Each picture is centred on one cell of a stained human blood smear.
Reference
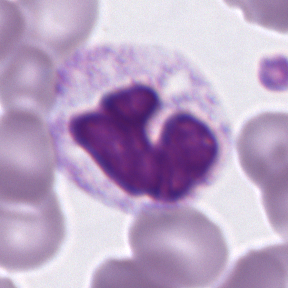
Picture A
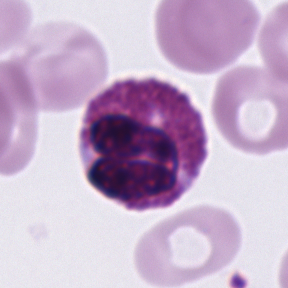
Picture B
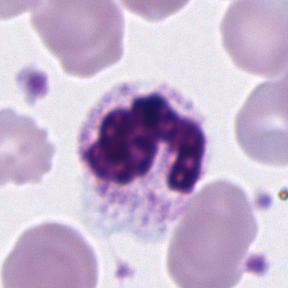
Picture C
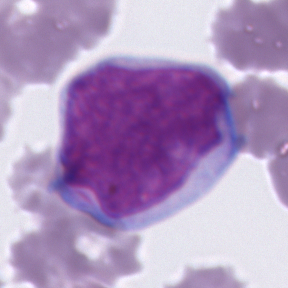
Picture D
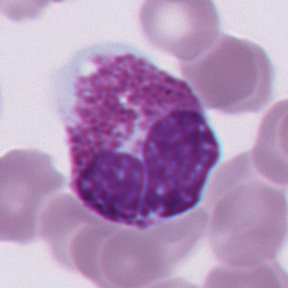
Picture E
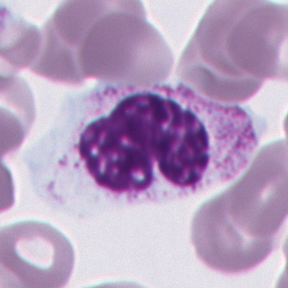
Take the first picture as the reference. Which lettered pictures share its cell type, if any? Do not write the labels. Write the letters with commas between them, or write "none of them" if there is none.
B, E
